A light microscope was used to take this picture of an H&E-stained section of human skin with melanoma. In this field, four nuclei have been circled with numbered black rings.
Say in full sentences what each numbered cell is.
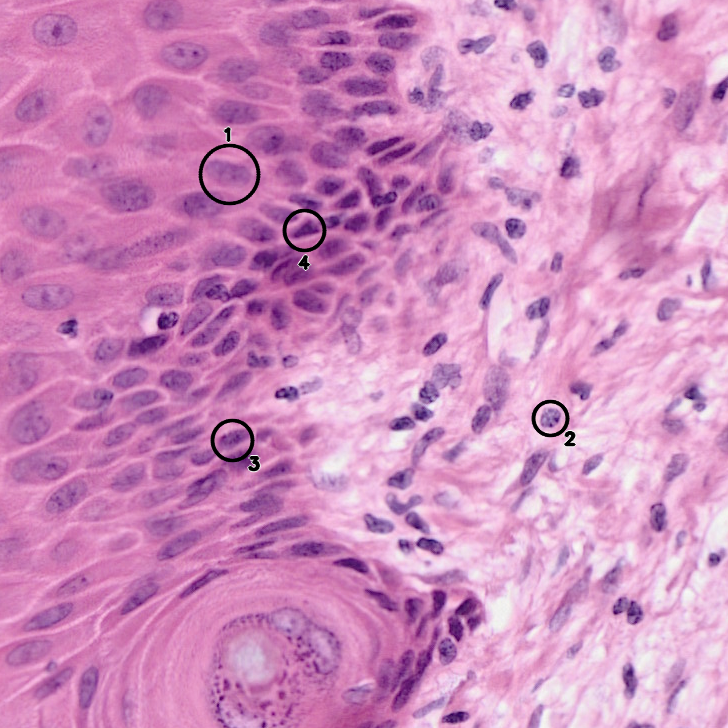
Cells 1, 3 and 4 are keratinocytes. Cell 2 is a lymphocyte.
